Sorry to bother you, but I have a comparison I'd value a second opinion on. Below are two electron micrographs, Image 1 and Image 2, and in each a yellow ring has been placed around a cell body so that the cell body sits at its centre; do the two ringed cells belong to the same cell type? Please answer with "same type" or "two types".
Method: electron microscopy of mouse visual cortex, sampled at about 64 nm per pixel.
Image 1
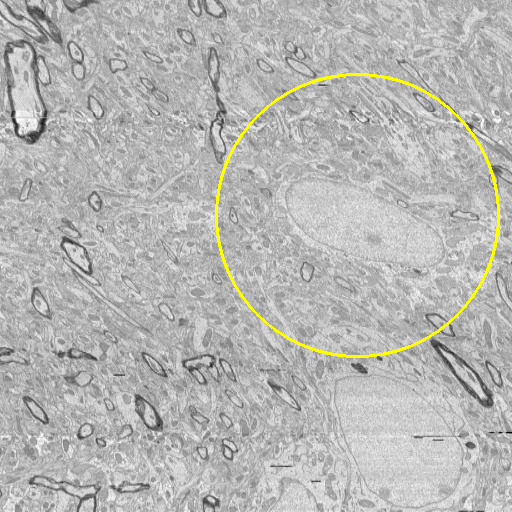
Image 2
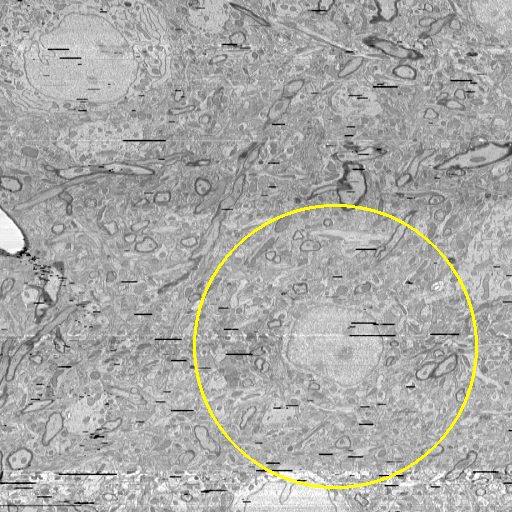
same type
